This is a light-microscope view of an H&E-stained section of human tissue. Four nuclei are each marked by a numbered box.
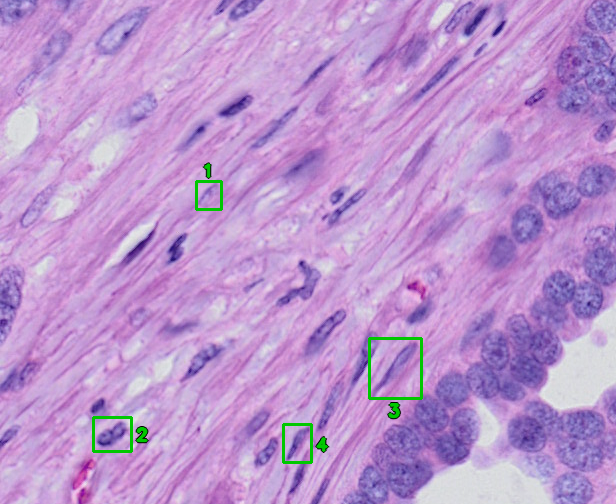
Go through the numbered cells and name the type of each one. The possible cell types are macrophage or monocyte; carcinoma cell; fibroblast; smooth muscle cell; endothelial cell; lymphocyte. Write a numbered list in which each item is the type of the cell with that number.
1. fibroblast
2. macrophage or monocyte
3. fibroblast
4. fibroblast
